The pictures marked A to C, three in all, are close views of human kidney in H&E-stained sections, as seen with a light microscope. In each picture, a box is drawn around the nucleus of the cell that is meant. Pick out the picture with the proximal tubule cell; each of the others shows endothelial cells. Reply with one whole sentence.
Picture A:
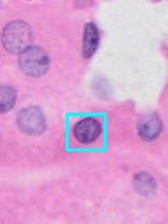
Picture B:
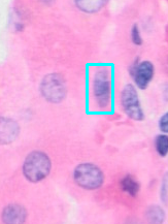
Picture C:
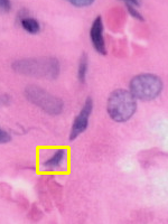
The proximal tubule cell is the one in picture A.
